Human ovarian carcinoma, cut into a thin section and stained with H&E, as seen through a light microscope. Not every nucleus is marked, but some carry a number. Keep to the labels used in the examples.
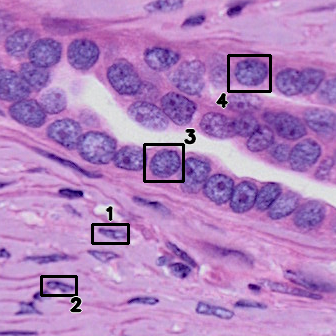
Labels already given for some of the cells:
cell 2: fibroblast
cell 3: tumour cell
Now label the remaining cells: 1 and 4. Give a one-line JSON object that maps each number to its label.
{"1": "fibroblast", "4": "tumour cell"}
